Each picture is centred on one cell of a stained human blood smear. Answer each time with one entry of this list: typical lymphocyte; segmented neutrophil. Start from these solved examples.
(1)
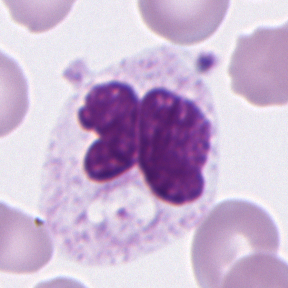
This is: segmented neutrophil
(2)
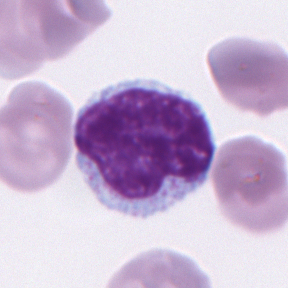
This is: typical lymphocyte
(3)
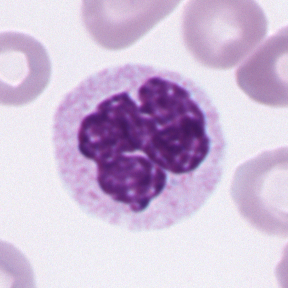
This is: segmented neutrophil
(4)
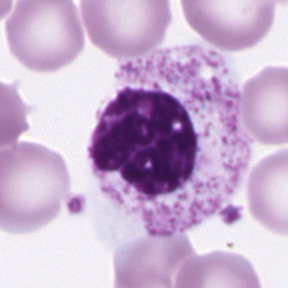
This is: segmented neutrophil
